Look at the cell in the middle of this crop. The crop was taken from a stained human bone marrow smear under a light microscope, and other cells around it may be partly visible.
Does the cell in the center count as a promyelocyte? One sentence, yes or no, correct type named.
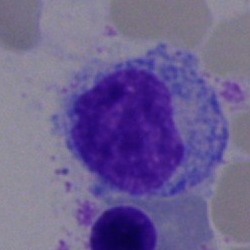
No, not a promyelocyte: the cell in the middle of this crop is a myelocyte.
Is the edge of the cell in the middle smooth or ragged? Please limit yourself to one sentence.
Its outline is ragged or drawn out into projections, not smooth.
